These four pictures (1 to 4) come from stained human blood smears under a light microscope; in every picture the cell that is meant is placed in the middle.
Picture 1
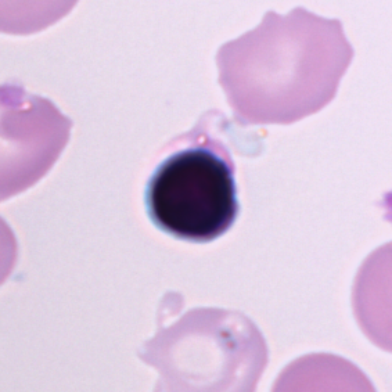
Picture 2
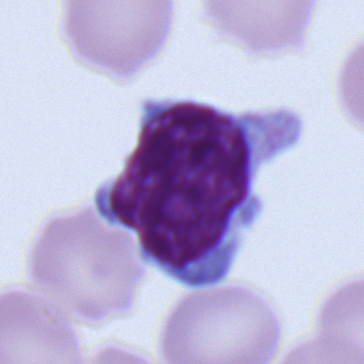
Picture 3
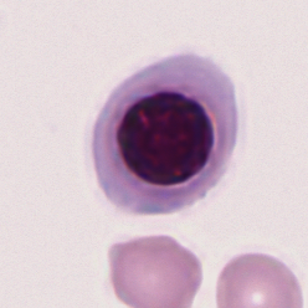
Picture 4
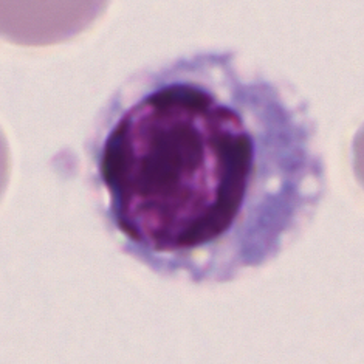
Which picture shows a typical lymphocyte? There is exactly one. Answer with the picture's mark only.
2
